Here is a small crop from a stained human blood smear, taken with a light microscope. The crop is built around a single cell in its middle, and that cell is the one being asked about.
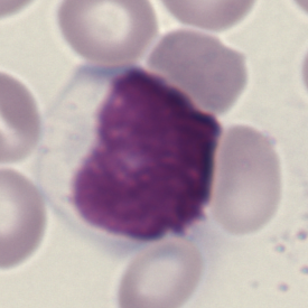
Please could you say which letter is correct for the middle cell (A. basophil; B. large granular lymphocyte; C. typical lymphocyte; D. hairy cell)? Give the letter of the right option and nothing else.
B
